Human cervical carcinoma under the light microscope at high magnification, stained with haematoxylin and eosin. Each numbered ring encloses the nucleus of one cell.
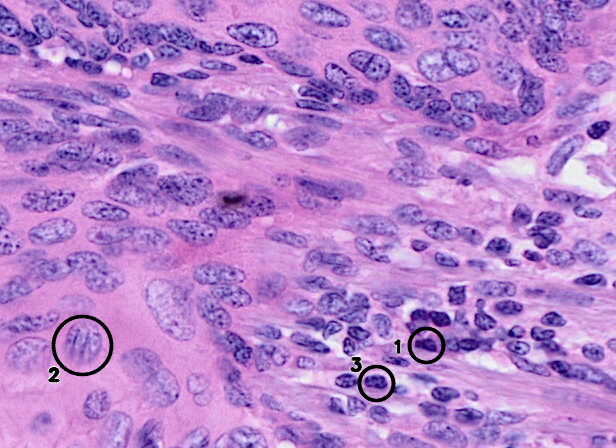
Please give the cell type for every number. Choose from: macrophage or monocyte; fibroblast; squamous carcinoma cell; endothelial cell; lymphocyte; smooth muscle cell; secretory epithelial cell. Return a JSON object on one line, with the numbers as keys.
{"1": "lymphocyte", "2": "squamous carcinoma cell", "3": "lymphocyte"}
